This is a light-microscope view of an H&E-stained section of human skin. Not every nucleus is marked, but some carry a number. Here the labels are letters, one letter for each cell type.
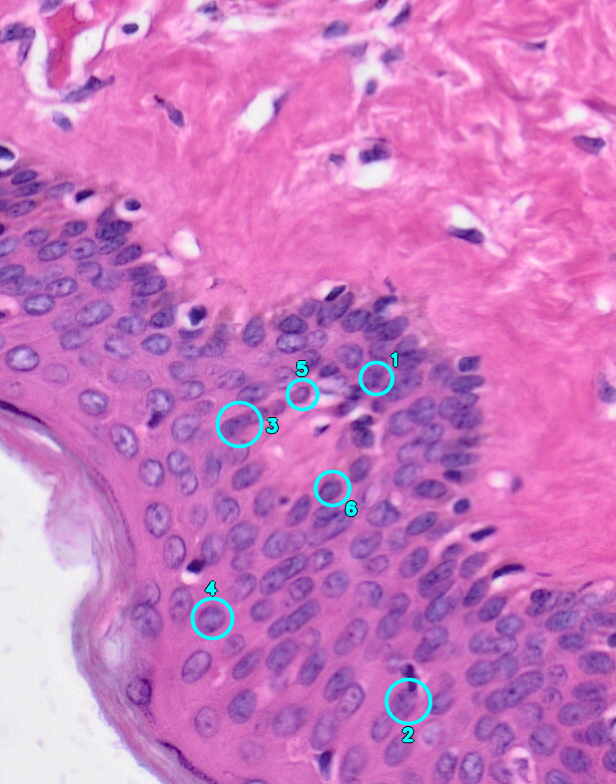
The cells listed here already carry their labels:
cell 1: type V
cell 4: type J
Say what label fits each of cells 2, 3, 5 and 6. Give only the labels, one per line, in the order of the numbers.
type J
type V
type V
type V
